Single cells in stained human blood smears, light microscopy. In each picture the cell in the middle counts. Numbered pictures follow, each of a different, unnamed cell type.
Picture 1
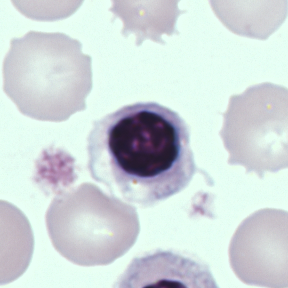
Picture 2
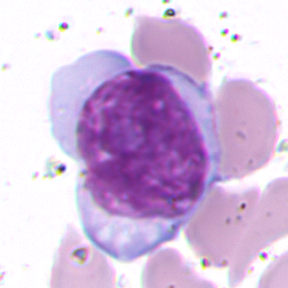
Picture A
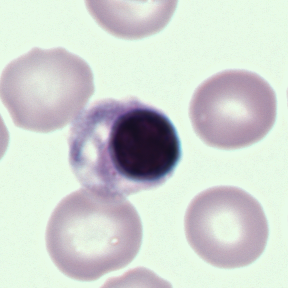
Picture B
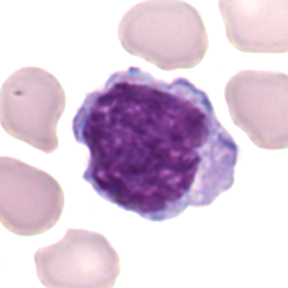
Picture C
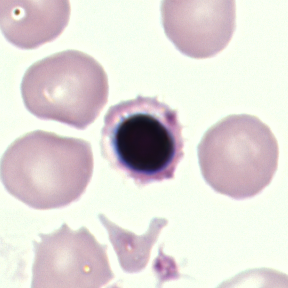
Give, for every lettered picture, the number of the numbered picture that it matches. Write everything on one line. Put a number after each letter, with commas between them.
A 1, B 2, C 1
